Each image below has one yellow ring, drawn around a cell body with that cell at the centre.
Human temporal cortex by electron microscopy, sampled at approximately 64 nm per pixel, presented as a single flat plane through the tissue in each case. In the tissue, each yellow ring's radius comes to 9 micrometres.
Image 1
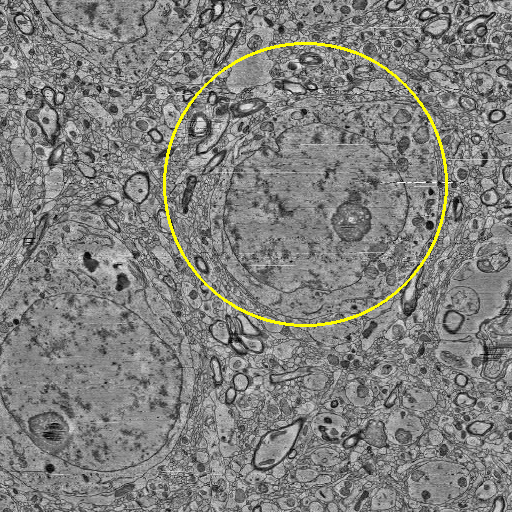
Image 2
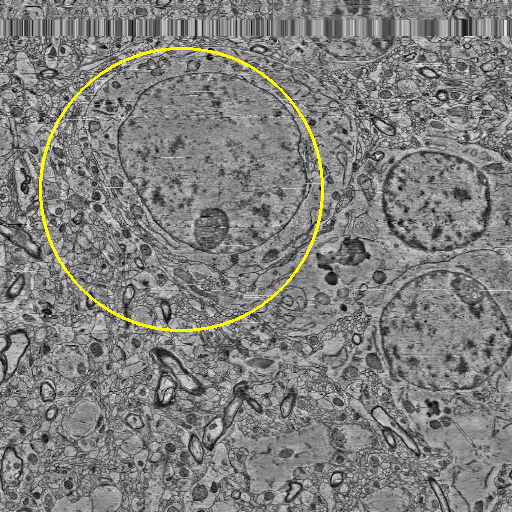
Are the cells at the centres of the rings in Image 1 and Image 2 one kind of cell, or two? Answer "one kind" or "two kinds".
one kind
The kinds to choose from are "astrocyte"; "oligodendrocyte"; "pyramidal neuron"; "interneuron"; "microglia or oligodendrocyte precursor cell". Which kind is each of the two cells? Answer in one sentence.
The ring centre holds a pyramidal neuron in each of the two pictures.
